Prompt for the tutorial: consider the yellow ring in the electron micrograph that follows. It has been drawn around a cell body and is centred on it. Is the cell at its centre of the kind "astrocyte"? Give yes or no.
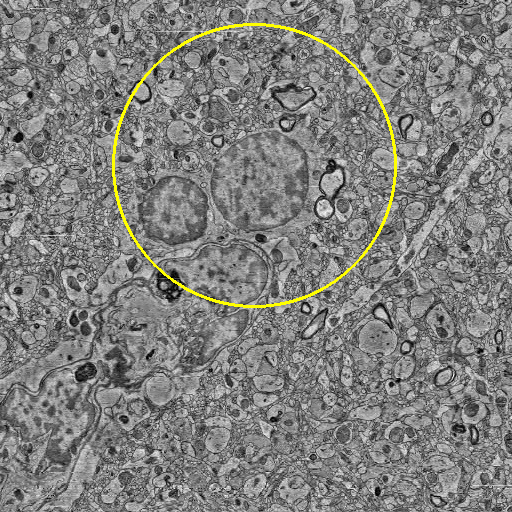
no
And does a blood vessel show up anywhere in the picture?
Yes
